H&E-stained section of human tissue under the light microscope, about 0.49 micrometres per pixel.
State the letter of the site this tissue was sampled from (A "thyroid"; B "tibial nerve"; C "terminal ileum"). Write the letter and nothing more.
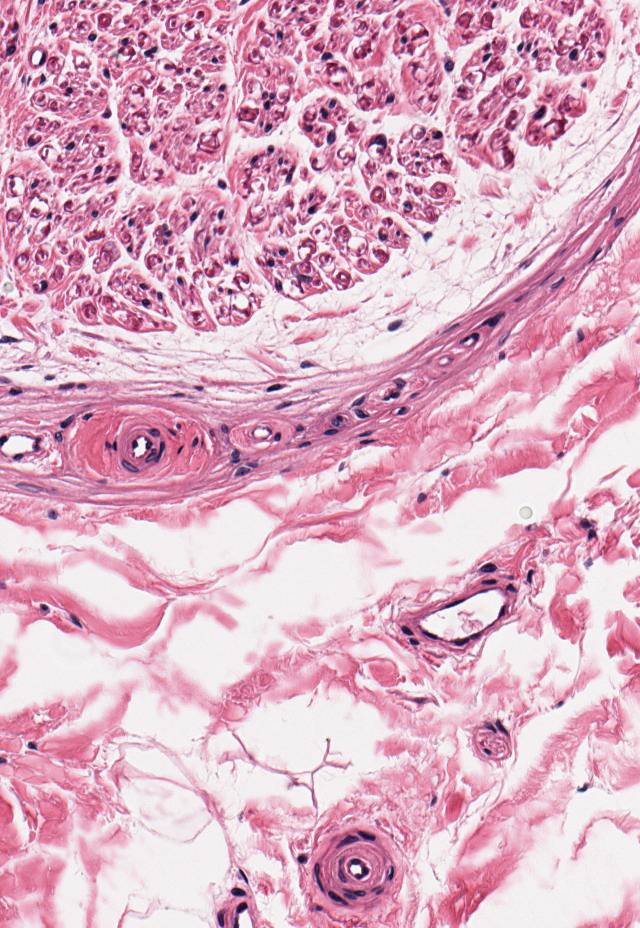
B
